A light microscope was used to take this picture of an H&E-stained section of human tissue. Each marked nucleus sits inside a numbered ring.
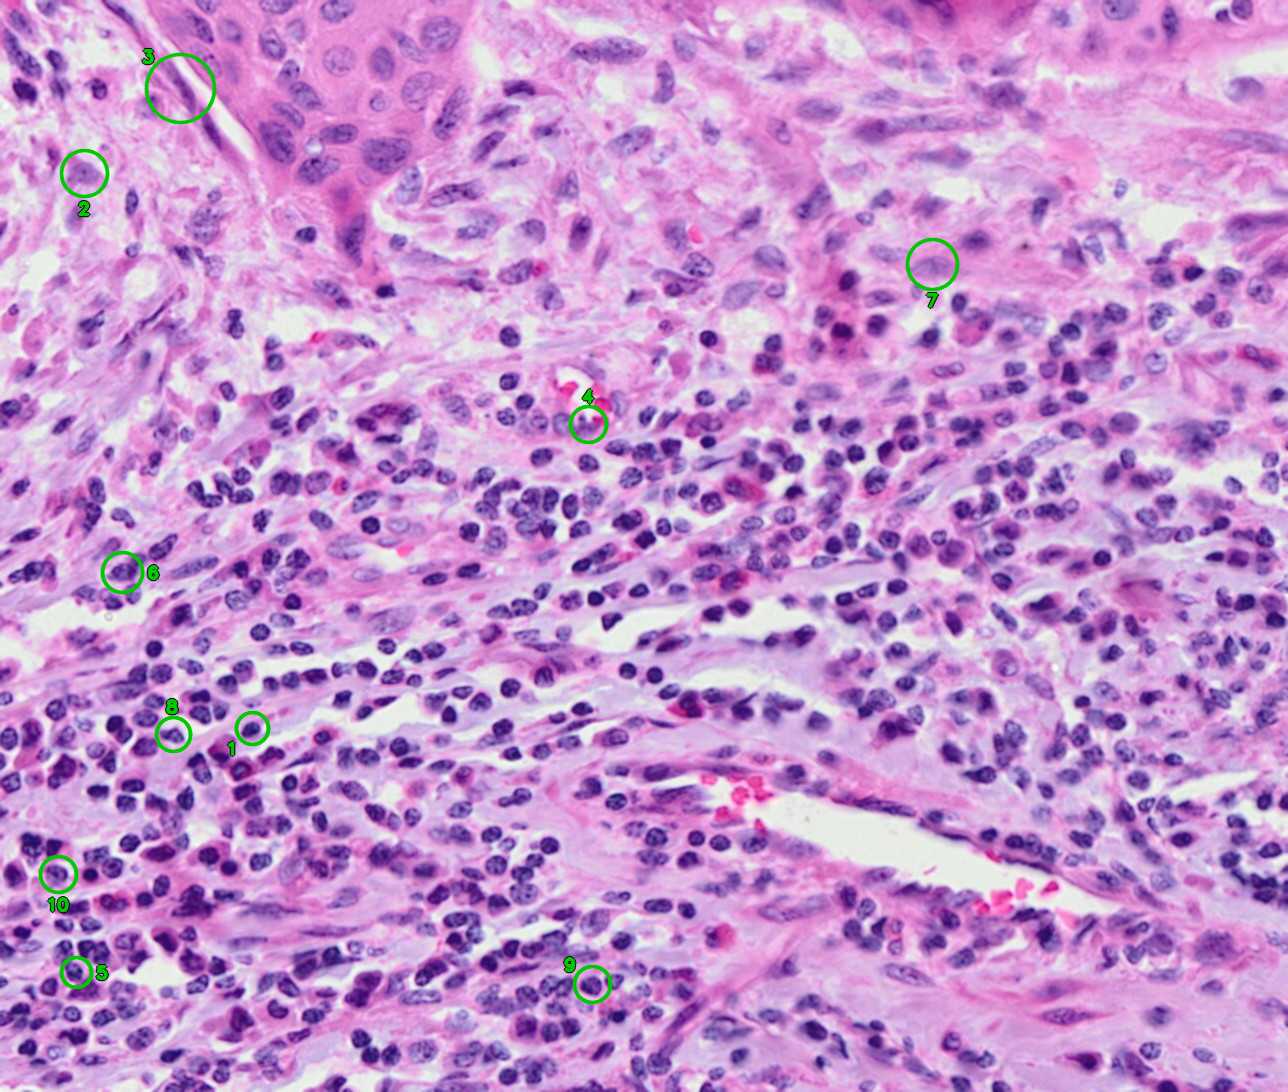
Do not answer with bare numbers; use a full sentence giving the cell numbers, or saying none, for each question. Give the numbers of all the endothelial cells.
In this section, the cells labelled 4 and 7 are endothelial cells.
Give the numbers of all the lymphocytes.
The cells tagged 1, 5, 6, 8, 9 and 10 are lymphocytes in this tissue section.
